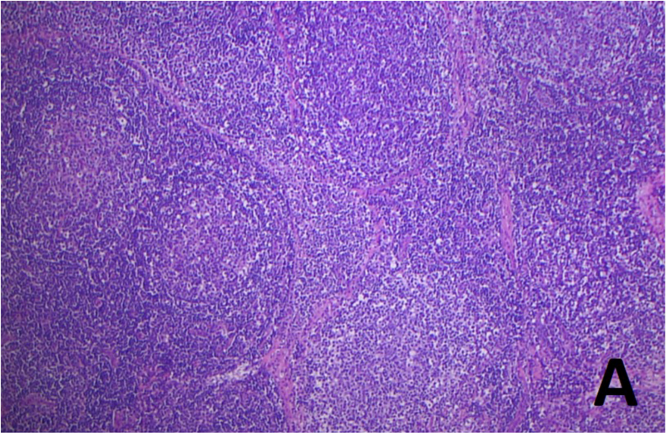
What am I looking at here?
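This is a lymph node section crowded with lymphoid follicles made of densely packed, dark blue lymphocytes. On the left, the follicles are rounded and well outlined, with paler centres surrounded by a darker rim of small cells. Thin pink fibrous and vascular strands run between the nodules.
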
